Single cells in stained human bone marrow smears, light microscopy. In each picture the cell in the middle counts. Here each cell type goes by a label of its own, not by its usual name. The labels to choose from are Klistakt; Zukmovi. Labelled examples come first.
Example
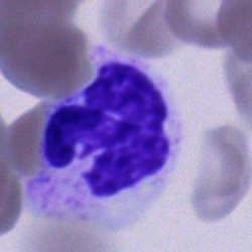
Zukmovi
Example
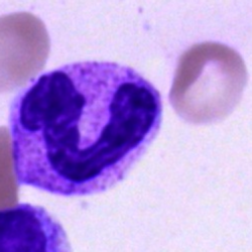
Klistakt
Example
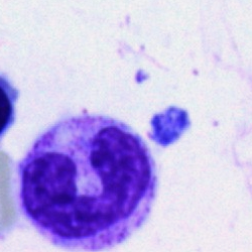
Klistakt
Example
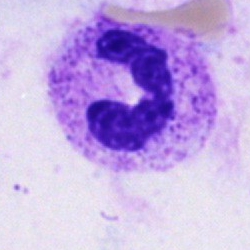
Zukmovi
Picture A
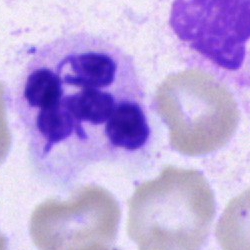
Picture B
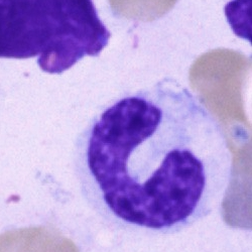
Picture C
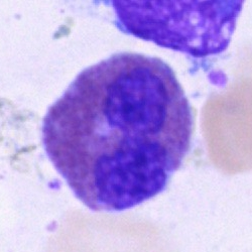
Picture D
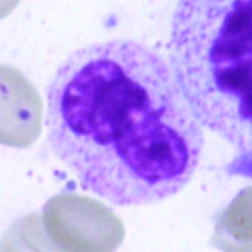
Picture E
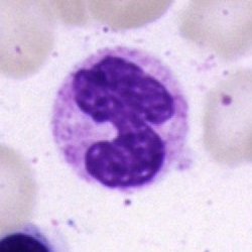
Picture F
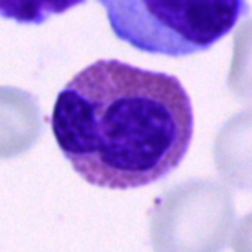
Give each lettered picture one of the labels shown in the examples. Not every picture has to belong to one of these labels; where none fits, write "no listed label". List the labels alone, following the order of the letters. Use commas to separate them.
Zukmovi, Klistakt, no listed label, Klistakt, Zukmovi, no listed label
